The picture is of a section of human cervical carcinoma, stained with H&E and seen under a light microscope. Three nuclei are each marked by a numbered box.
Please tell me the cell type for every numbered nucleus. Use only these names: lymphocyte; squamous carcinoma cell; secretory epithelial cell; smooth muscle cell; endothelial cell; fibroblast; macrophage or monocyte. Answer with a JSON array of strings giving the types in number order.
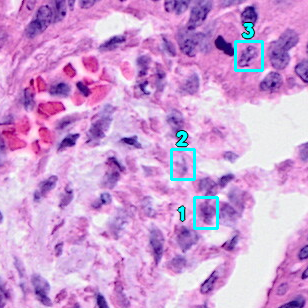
["fibroblast", "fibroblast", "squamous carcinoma cell"]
